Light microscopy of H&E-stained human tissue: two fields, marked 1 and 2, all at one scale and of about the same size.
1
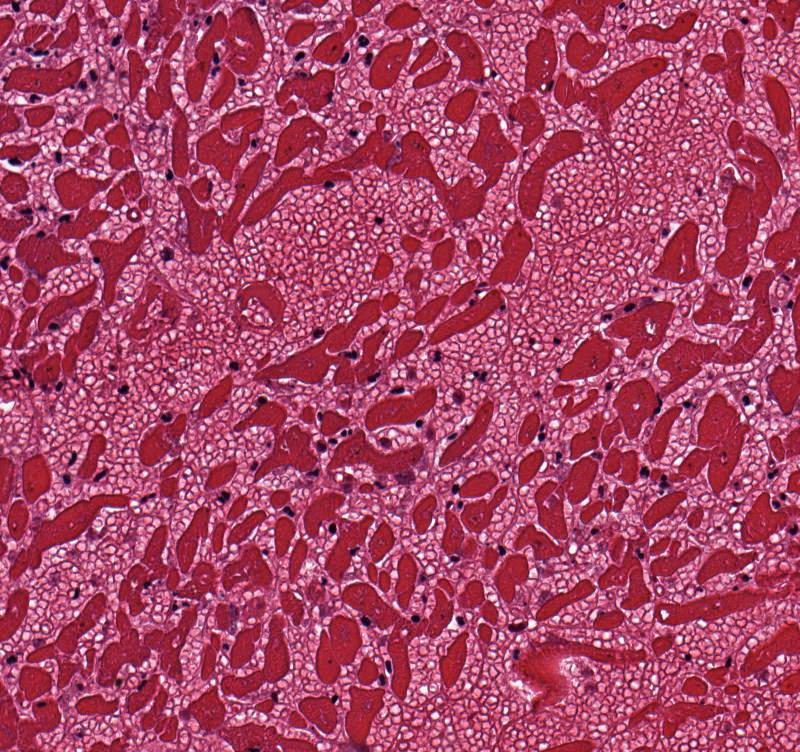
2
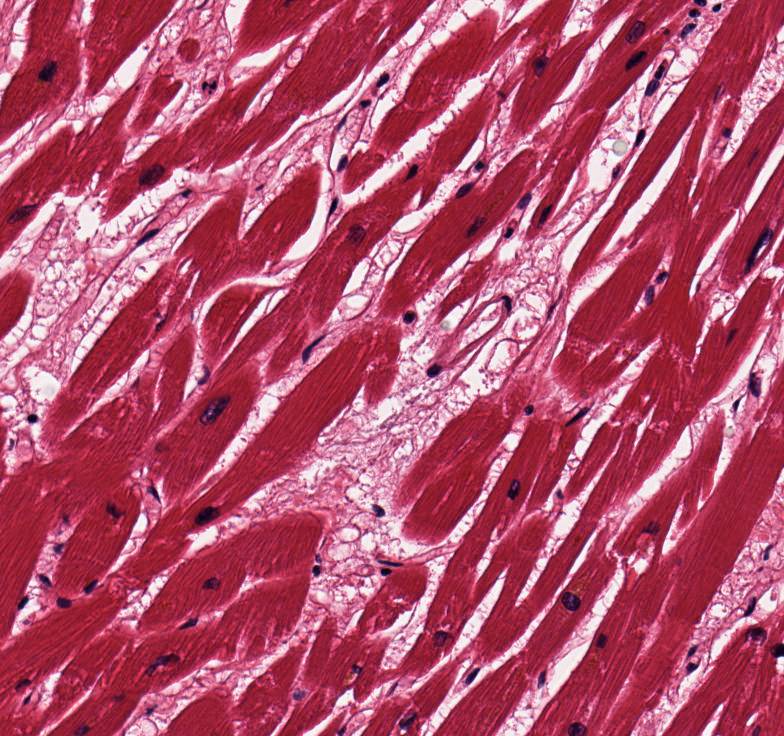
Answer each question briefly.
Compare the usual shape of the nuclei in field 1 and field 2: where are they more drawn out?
2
